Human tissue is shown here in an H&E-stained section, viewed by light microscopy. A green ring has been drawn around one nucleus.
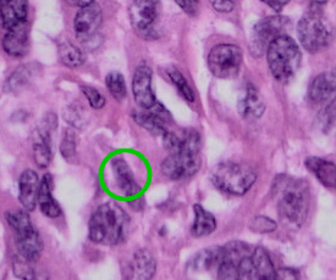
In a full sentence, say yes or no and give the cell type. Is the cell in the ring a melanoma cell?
Yes, a melanoma cell is the identity of the cell in the ring in this section.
